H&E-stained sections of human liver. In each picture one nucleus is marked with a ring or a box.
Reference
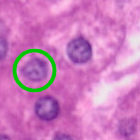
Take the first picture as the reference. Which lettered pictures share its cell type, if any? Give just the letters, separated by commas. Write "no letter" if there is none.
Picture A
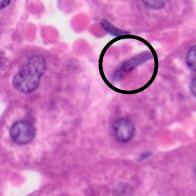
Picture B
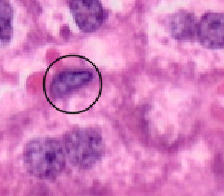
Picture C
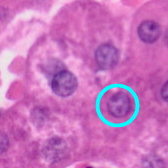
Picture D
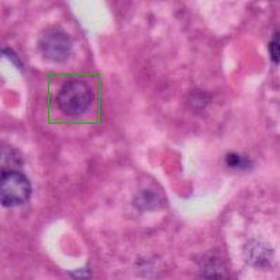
C, D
